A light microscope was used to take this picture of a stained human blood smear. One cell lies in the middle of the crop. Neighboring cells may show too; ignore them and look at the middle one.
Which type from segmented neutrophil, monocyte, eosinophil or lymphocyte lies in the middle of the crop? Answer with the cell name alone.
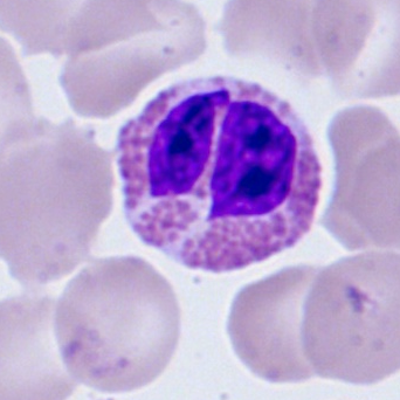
eosinophil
